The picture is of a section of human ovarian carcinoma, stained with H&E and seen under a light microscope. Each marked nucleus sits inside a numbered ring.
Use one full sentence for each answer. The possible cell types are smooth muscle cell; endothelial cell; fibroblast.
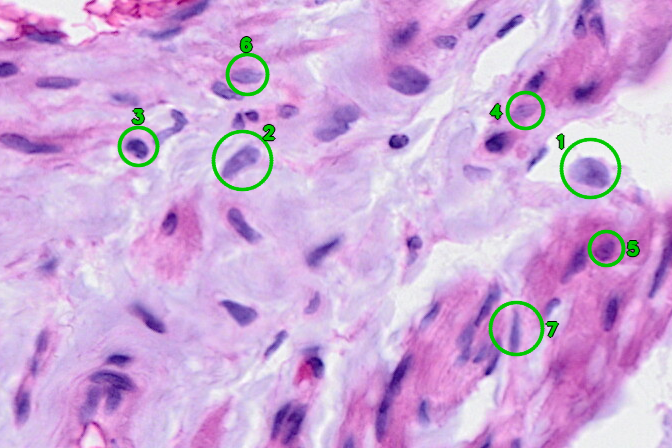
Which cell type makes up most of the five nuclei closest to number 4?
Around number 4, most of the five nearest nuclei are those of endothelial cells.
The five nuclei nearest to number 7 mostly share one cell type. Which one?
The majority of the five nuclei closest to number 7 belong to smooth muscle cells.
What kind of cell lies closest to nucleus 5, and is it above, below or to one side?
Lying to the left of nucleus 5, the nearest nucleus is that of a smooth muscle cell.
